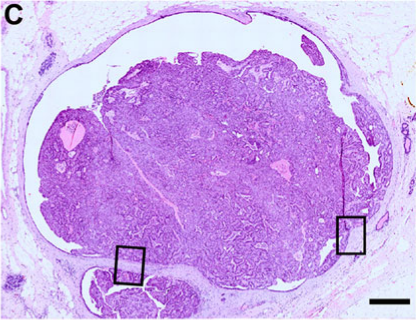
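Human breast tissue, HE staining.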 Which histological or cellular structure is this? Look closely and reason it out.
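A large, densely cellular mass with a branching pattern fills a dilated rounded space. The mass is surrounded by a thin wall and a clear gap.
Answer: intraductal papillomas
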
